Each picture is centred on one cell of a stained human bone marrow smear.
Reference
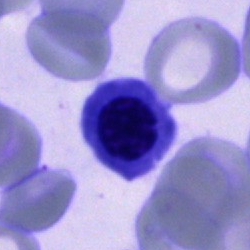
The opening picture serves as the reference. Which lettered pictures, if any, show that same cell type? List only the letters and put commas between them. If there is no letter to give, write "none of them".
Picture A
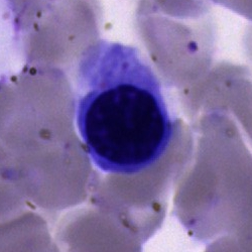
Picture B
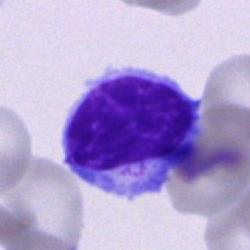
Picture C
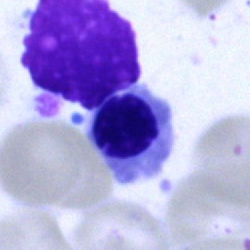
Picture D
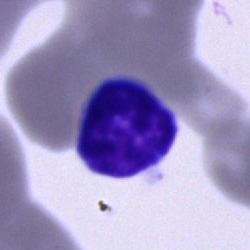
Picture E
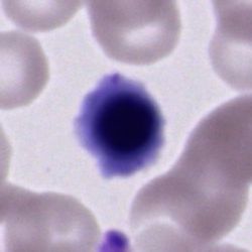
A, C, E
